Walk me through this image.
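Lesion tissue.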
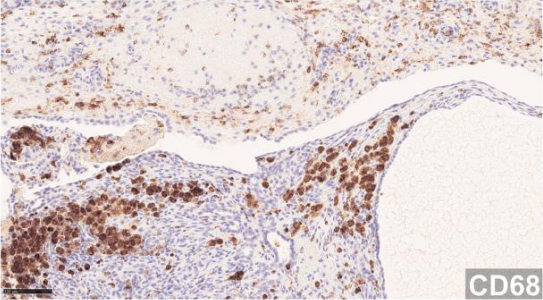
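At lower left and centre, the brown cells are large, rounded and packed tightly together, with dense brown cytoplasm that often hides the nucleus. Around them, the stroma is made of small spindle-shaped cells with elongated blue nuclei. A narrow cleft-like space runs across the middle, lined by a thin layer of flattened cells. Above it lies looser, paler tissue with fainter scattered brown cells. At right is a wide pale area of homogeneous material with no cells in it.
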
